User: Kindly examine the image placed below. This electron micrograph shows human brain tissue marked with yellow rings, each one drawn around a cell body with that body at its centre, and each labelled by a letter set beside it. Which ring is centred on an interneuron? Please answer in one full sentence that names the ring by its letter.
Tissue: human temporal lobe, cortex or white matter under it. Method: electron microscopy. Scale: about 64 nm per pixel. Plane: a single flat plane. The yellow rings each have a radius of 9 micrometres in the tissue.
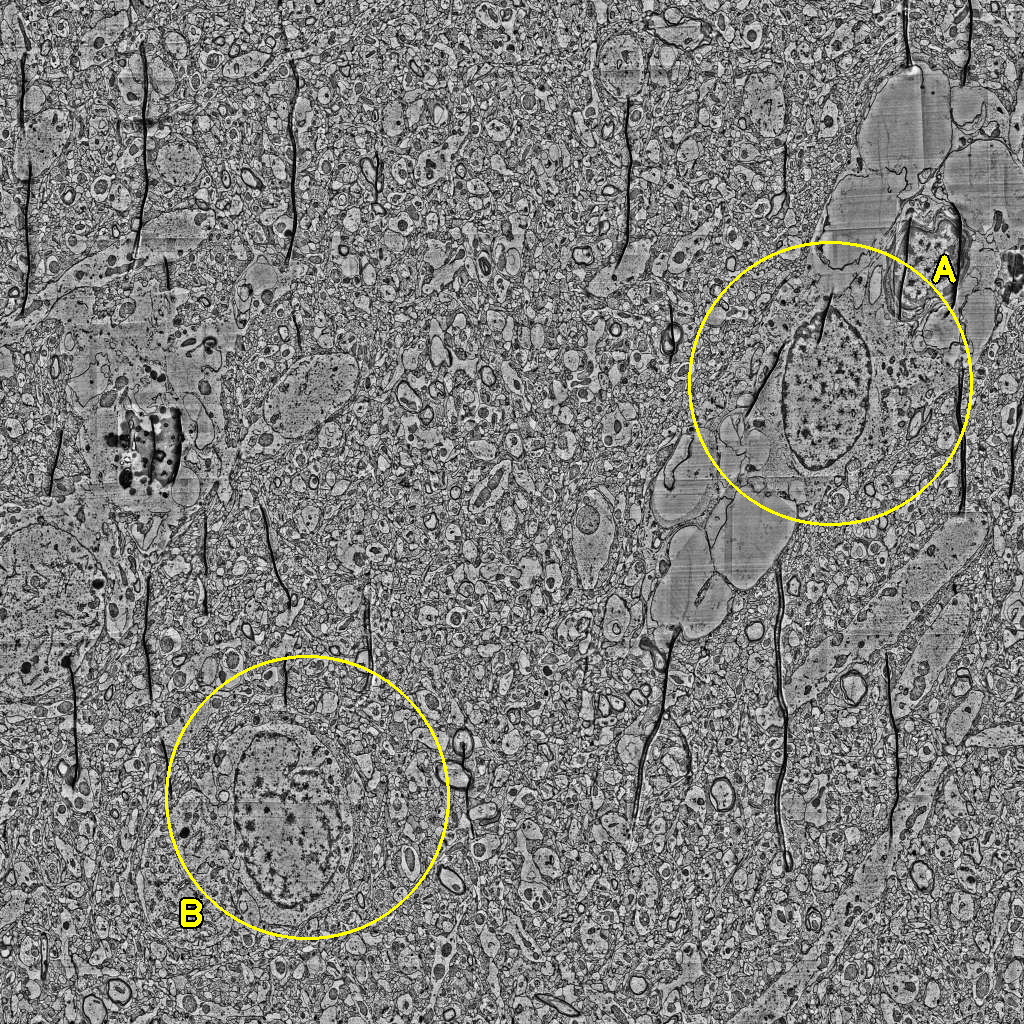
Ring B is the one drawn around the cell asked for.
